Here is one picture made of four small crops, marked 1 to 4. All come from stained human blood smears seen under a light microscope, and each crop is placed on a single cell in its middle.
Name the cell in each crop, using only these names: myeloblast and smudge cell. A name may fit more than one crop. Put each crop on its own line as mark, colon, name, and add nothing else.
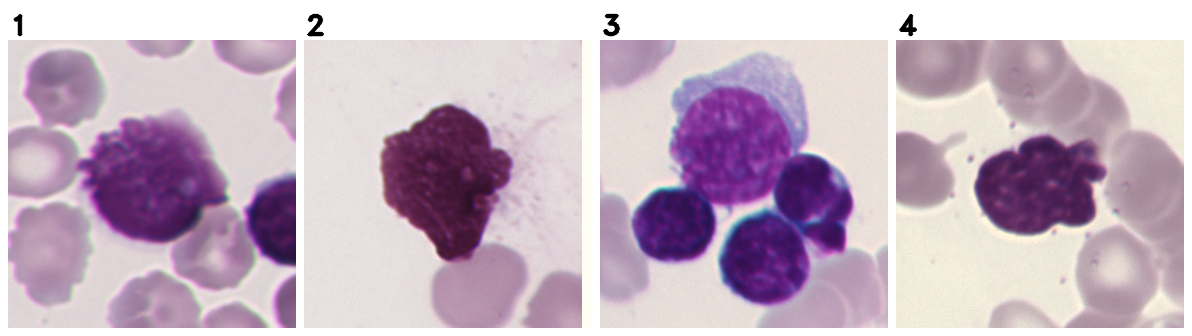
1: smudge cell
2: smudge cell
3: myeloblast
4: smudge cell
